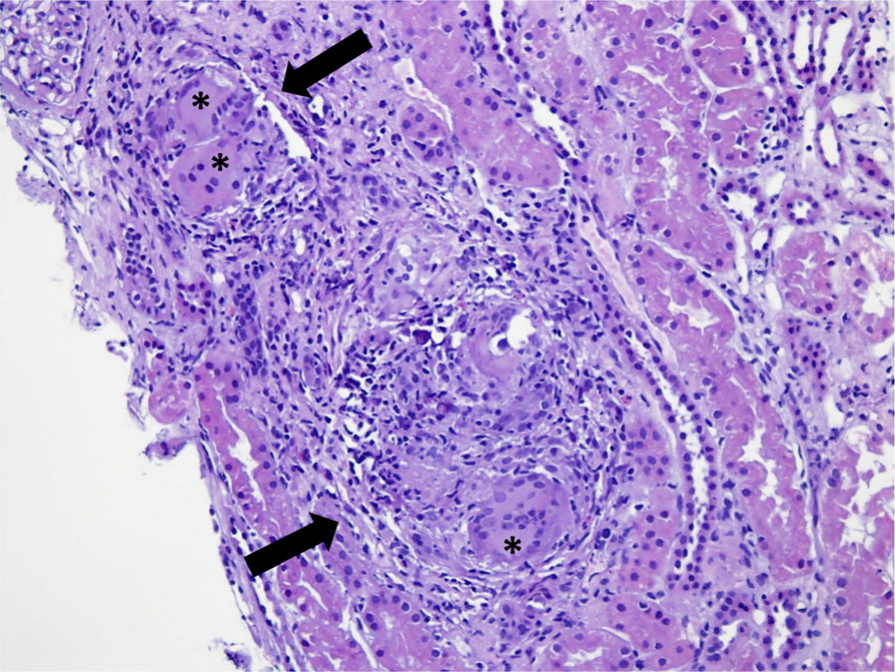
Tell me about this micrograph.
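This is kidney tissue in which two rounded nodules of inflammatory cells sit among the tubules. Each nodule is built of pale, pink epithelioid-looking cells and contains one or more very large cells with many nuclei gathered in their pink cytoplasm. Around the nodules lies a dense rim of small cells with dark, round nuclei, spilling into the space between tubules. No central necrotic debris is seen within the nodules. Round about, the tubules are lined by cuboidal cells with abundant pink cytoplasm and round nuclei, and appear intact.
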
